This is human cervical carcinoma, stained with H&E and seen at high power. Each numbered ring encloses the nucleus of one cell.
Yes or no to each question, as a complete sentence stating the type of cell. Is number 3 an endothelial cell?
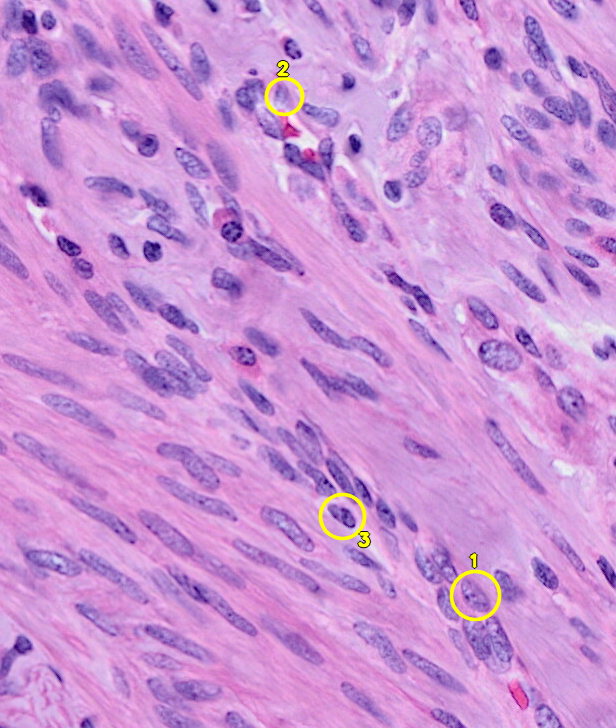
No, number 3 points to a lymphocyte and not to an endothelial cell.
